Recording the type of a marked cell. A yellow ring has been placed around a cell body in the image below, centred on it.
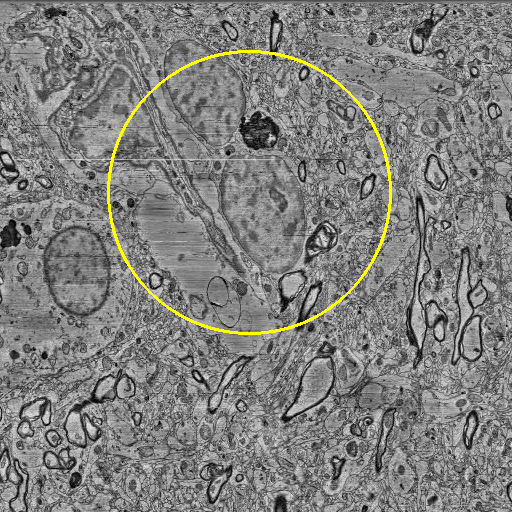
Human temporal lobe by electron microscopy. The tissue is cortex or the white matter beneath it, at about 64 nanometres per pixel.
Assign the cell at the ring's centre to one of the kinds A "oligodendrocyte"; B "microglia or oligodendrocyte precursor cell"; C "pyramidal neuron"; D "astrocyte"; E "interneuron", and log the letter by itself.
A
